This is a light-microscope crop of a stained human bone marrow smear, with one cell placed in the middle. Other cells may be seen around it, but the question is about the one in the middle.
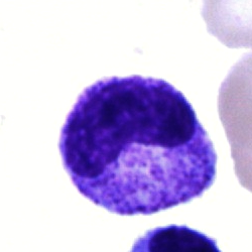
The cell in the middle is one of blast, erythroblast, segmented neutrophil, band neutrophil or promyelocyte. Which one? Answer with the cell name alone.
band neutrophil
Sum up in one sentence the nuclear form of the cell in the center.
If you check the nucleus, you will find one compact mass, round, oval or kidney-shaped.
